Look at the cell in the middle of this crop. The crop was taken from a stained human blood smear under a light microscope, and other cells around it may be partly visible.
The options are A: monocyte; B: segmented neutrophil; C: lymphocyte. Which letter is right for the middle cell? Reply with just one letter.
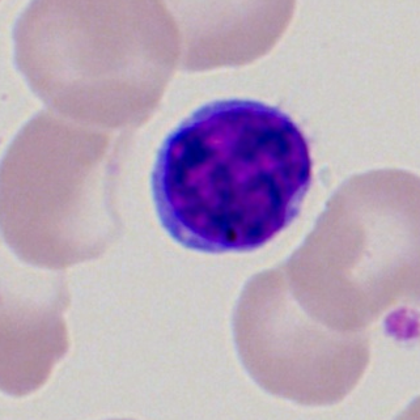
C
